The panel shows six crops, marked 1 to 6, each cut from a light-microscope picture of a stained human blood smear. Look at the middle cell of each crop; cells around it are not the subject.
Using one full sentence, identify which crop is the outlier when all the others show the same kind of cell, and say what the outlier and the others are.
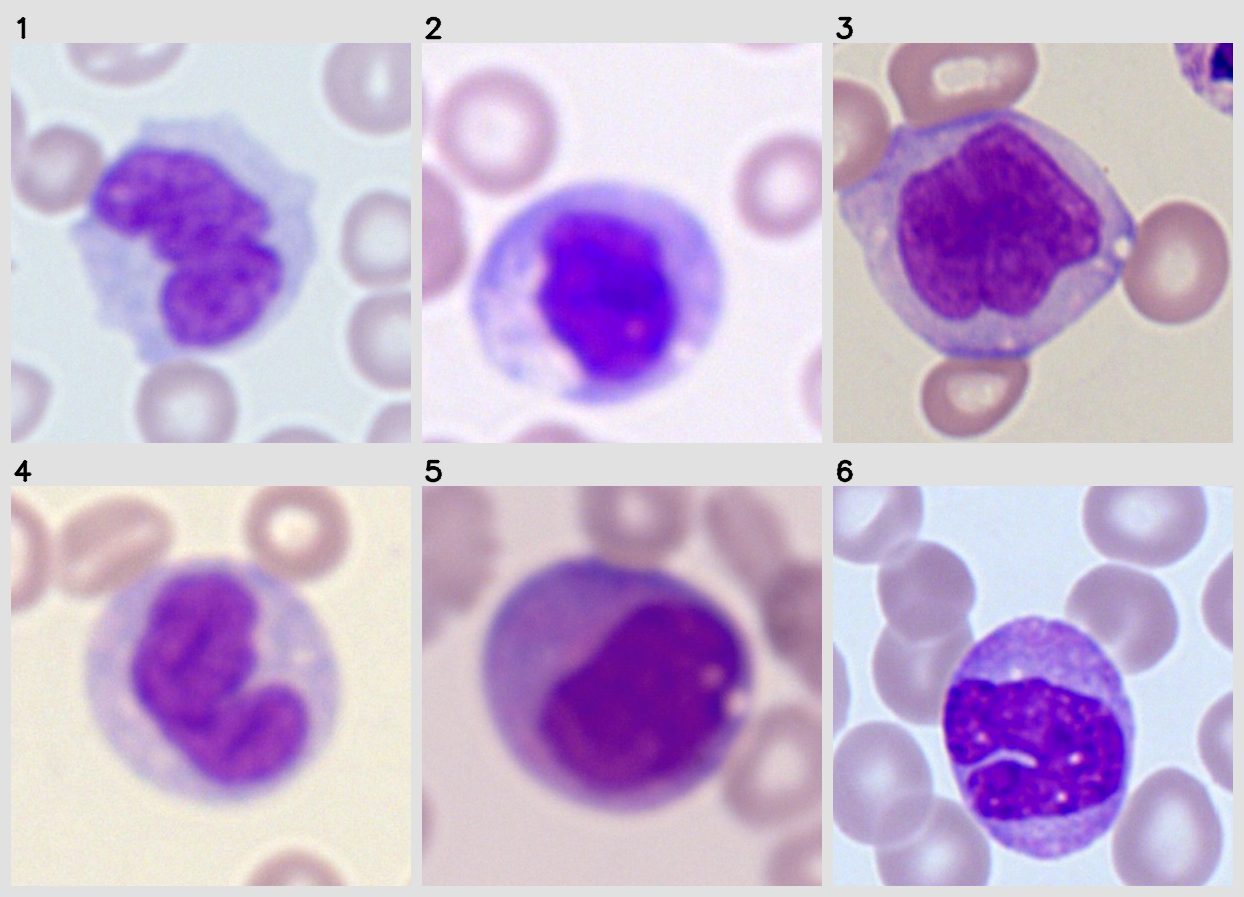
The different crop is crop 5, a myeloblast; all the others show monocytes.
